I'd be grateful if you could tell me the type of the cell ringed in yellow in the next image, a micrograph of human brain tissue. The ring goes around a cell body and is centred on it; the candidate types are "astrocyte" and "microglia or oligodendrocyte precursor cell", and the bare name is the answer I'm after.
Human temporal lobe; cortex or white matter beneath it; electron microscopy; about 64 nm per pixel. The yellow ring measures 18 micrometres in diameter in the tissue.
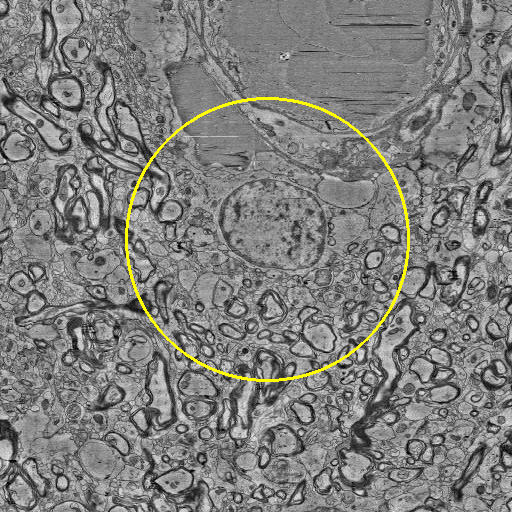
microglia or oligodendrocyte precursor cell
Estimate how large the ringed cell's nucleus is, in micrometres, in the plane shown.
In this plane, approximately 7 by 6 micrometers.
